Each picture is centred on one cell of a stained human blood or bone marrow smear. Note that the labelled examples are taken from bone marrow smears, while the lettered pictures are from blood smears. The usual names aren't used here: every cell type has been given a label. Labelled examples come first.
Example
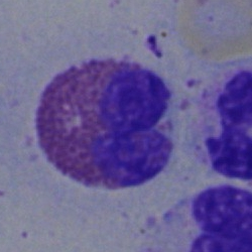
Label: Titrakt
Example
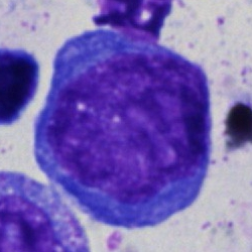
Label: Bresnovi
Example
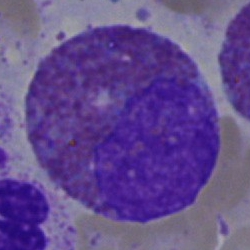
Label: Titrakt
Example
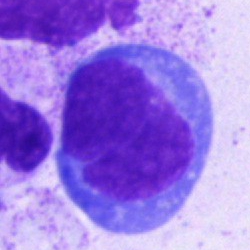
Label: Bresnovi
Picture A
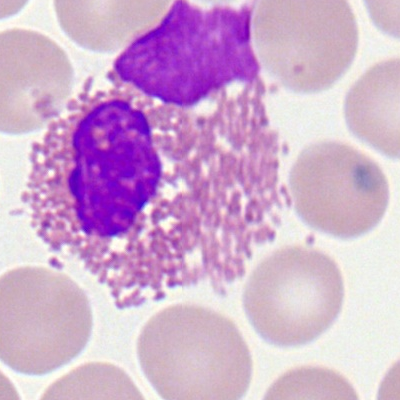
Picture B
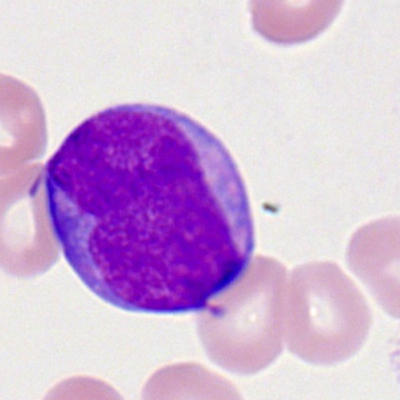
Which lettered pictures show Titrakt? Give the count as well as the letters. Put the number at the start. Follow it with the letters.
1: A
